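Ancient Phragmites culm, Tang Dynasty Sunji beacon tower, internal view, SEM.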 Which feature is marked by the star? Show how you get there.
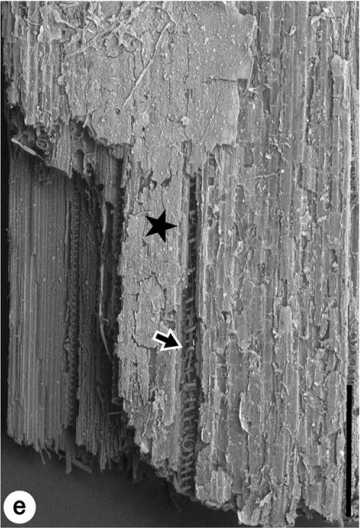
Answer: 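Inner membranes. The star sits on a flat sheet-like surface with cracks. The sheet covers the underlying lengthwise cells.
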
